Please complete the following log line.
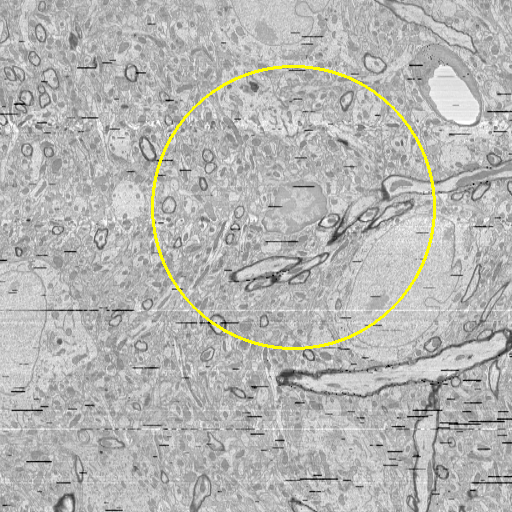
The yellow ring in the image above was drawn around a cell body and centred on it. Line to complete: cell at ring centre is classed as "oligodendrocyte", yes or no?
no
